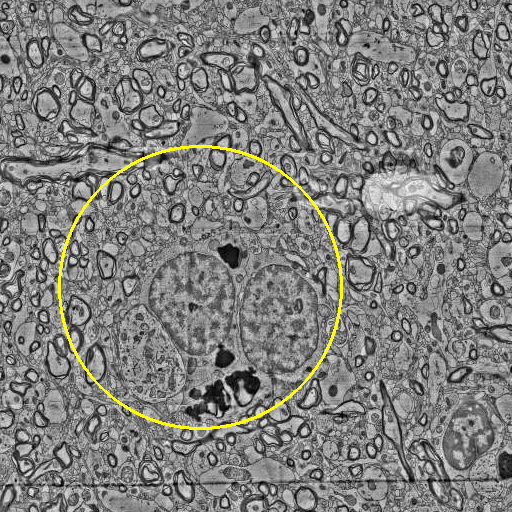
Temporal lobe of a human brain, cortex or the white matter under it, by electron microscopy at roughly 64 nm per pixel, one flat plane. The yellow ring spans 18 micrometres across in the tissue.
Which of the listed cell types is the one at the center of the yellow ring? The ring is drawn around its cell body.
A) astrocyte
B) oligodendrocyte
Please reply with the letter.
B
